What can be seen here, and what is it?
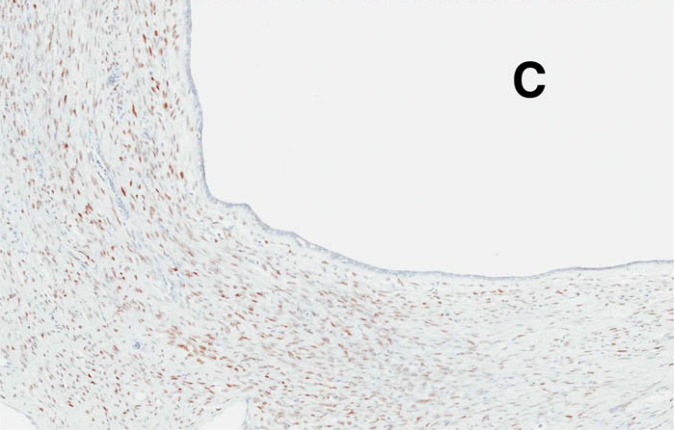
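This is the cyst wall, with a thin lining facing the empty lumen and a cellular stroma of spindle cells below it. Many of the elongated stromal nuclei are stained brown, while the lining and the pale intervening tissue take only the blue counterstain.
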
